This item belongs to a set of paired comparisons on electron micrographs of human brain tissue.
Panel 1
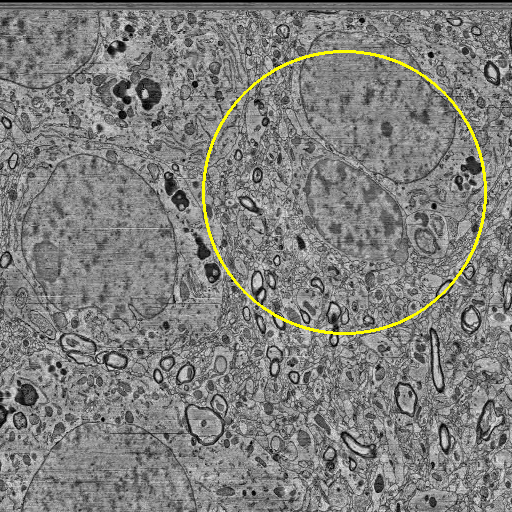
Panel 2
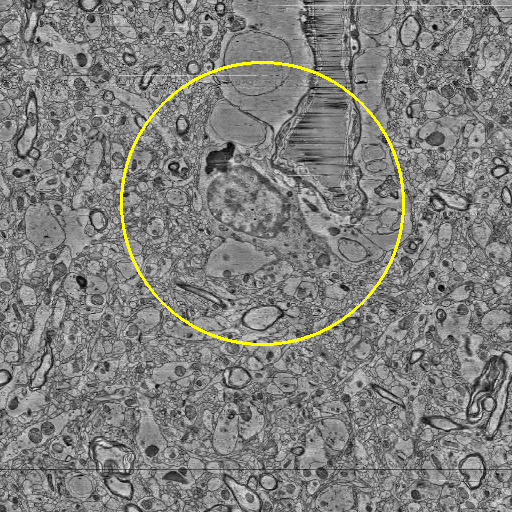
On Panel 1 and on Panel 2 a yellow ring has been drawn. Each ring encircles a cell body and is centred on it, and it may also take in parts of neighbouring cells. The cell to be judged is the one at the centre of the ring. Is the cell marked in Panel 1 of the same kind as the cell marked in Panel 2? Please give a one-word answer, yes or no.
yes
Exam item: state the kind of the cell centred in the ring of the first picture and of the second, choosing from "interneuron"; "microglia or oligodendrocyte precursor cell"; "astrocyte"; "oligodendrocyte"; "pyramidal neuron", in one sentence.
In each of the two pictures, the ringed cell is an oligodendrocyte.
